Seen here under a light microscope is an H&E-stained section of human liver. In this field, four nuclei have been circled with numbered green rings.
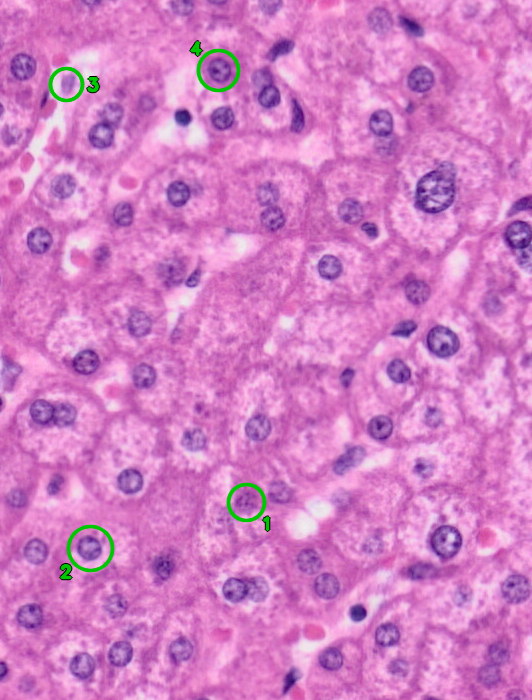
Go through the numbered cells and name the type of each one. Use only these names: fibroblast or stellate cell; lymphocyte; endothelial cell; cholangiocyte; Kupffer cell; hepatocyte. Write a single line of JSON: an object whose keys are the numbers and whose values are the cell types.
{"1": "hepatocyte", "2": "hepatocyte", "3": "Kupffer cell", "4": "hepatocyte"}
